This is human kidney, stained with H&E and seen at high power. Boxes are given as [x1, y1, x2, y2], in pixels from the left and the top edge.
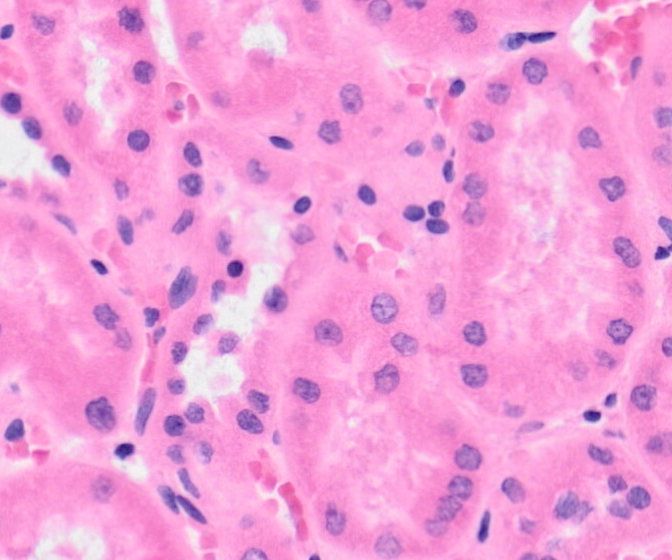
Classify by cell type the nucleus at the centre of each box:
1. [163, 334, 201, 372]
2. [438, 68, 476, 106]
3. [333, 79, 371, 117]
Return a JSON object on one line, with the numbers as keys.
{"1": "loop of Henle or distal tubule cell", "2": "endothelial cell", "3": "proximal tubule cell"}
